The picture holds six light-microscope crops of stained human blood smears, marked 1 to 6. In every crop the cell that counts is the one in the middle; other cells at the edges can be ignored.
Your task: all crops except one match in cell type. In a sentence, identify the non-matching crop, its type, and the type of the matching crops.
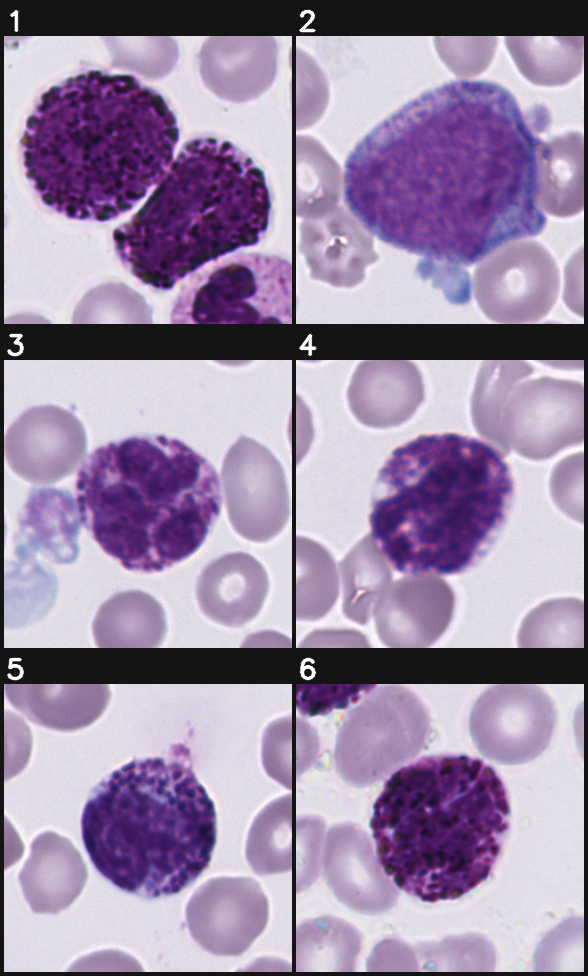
The odd one out is crop 2, a promyelocyte, and all other crops show basophils.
